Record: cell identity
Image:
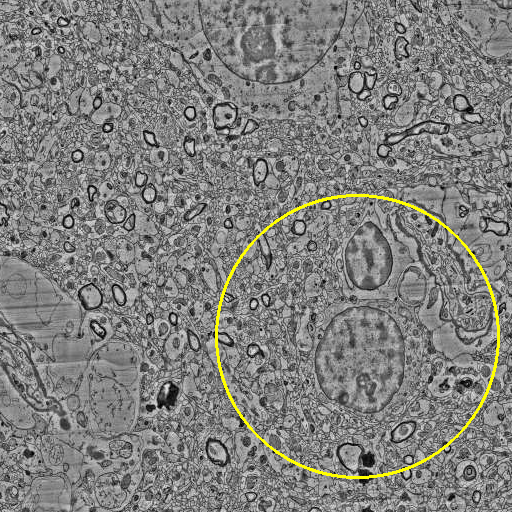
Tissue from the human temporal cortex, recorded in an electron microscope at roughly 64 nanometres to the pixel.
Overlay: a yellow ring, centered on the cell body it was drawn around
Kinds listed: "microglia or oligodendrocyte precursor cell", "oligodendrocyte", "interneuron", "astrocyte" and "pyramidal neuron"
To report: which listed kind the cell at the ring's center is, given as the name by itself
oligodendrocyte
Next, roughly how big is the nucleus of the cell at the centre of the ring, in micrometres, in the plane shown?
Roughly 7 by 6 micrometres in this plane, for the nucleus of the ringed cell.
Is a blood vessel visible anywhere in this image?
Yes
